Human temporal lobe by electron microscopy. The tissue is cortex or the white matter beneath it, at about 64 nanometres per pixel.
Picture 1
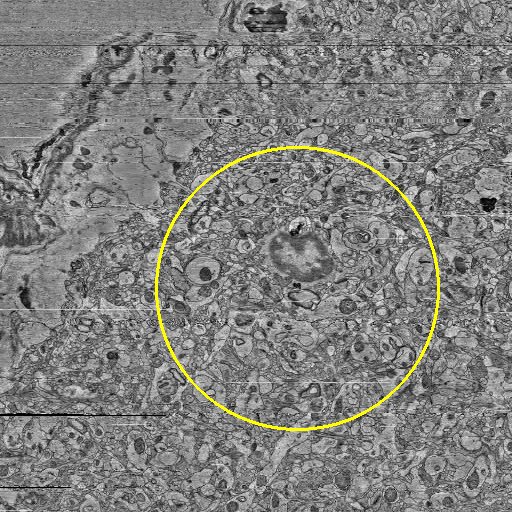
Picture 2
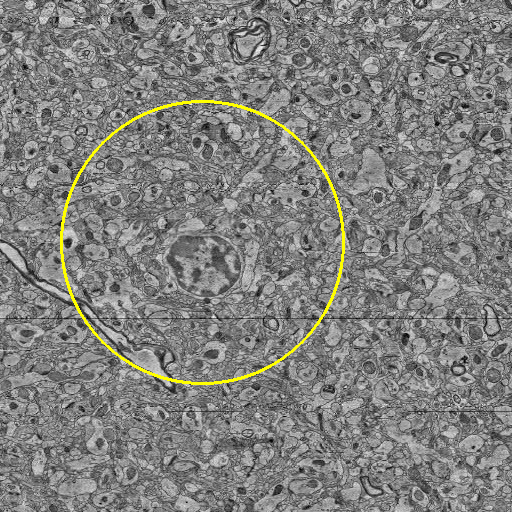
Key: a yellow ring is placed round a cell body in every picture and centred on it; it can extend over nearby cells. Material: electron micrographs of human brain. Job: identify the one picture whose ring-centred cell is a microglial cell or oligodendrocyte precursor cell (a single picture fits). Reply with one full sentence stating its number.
Picture 2 is the one with the sought cell at the centre of its ring.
